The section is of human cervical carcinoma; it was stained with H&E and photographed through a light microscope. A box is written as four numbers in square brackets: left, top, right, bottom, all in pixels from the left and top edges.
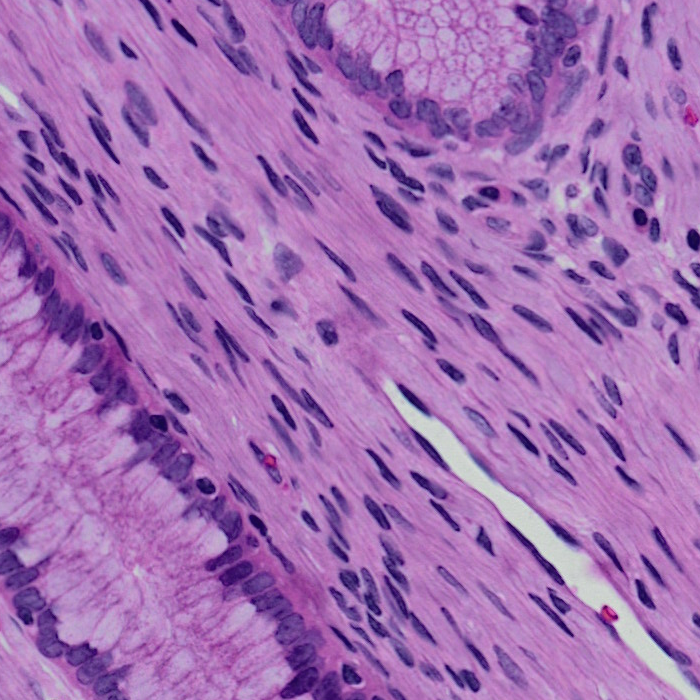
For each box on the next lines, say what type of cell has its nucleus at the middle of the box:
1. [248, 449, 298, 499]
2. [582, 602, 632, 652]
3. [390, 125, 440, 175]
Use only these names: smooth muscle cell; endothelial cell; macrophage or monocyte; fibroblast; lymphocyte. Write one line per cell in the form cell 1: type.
cell 1: endothelial cell
cell 2: endothelial cell
cell 3: fibroblast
